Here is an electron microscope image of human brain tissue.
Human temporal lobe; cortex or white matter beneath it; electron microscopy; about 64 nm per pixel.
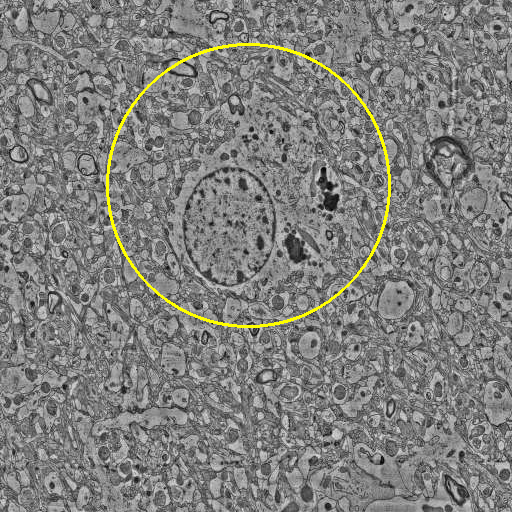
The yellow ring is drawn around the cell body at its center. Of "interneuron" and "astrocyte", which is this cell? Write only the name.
astrocyte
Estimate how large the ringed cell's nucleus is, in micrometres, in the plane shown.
About 8 by 6 micrometers, in this plane.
